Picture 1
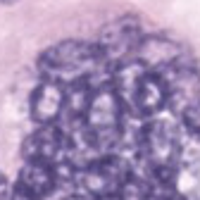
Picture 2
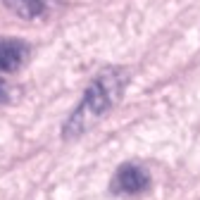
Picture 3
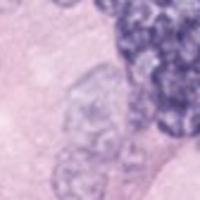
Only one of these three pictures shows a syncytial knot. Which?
Picture 1.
